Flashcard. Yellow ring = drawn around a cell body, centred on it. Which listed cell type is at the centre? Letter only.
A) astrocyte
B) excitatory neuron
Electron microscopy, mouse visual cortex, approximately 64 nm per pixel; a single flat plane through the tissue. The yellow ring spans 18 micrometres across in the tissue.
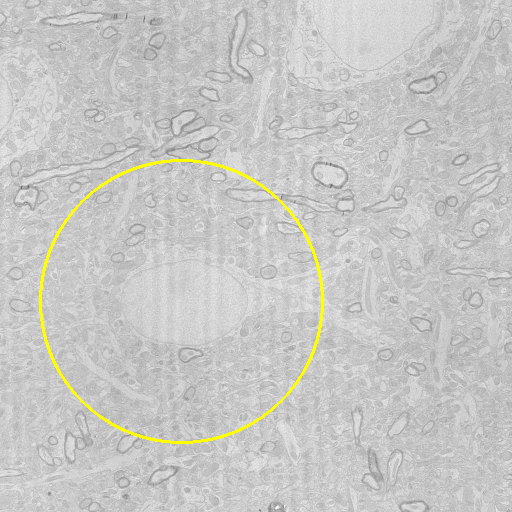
A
